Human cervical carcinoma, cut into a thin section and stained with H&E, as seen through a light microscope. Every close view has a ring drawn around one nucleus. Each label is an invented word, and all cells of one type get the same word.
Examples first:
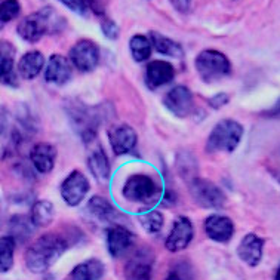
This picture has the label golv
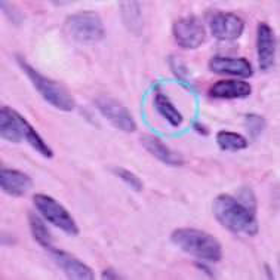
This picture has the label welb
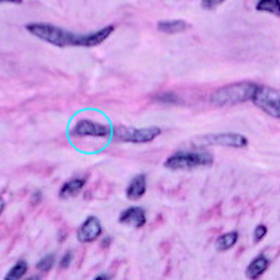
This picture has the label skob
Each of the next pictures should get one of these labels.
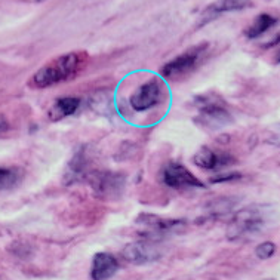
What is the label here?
golv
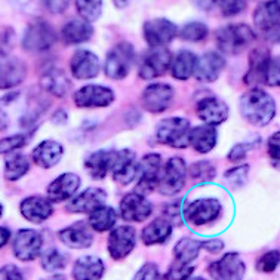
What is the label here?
golv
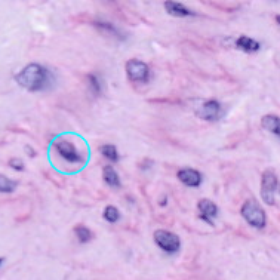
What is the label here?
skob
